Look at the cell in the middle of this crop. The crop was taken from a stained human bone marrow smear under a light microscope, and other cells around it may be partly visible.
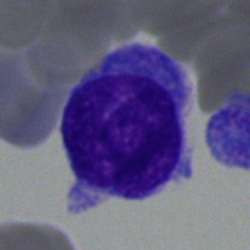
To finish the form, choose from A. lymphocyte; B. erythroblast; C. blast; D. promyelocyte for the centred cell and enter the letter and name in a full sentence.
The central cell in this crop is a blast, corresponding to option C, the correct option.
